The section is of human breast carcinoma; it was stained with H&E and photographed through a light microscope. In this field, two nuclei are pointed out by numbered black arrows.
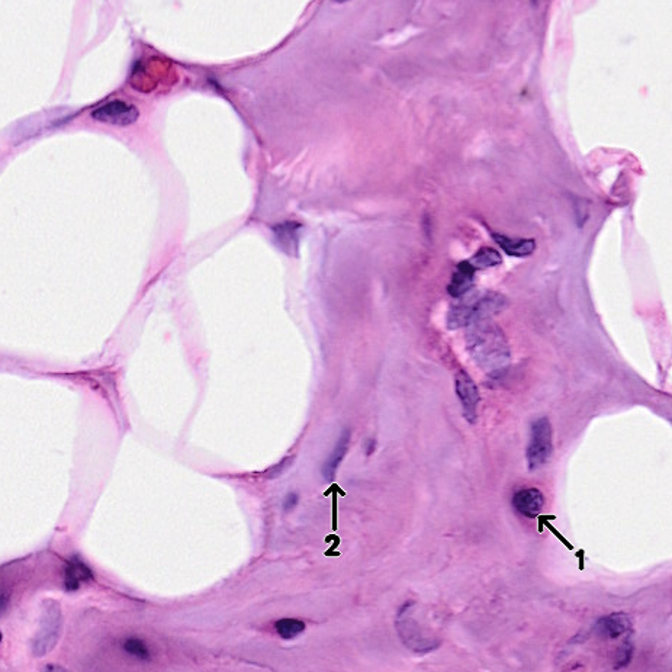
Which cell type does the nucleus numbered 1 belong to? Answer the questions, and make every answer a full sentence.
At number 1, the marked cell is a mast cell.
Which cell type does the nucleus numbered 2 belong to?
Cell 2 should be recorded as a fibroblast.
